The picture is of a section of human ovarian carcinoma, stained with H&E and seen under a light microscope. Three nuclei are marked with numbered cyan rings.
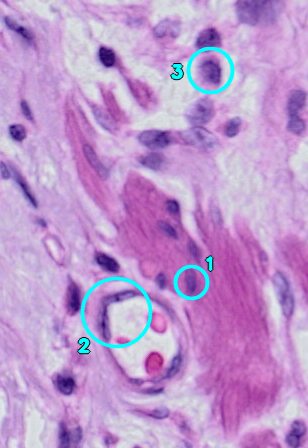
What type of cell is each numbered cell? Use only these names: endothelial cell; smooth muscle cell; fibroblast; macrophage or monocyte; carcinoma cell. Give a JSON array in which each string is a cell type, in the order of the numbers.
["smooth muscle cell", "endothelial cell", "macrophage or monocyte"]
